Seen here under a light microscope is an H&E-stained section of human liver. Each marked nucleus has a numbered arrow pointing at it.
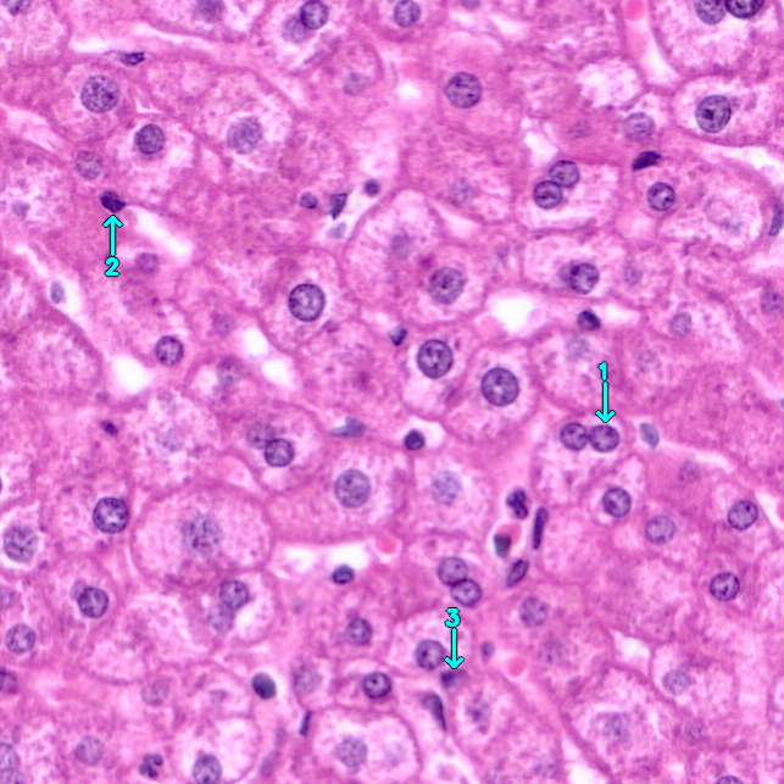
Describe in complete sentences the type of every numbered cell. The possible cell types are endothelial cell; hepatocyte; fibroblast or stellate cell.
Cell 1 is a hepatocyte. Cells 2 and 3 are fibroblasts or stellate cells.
